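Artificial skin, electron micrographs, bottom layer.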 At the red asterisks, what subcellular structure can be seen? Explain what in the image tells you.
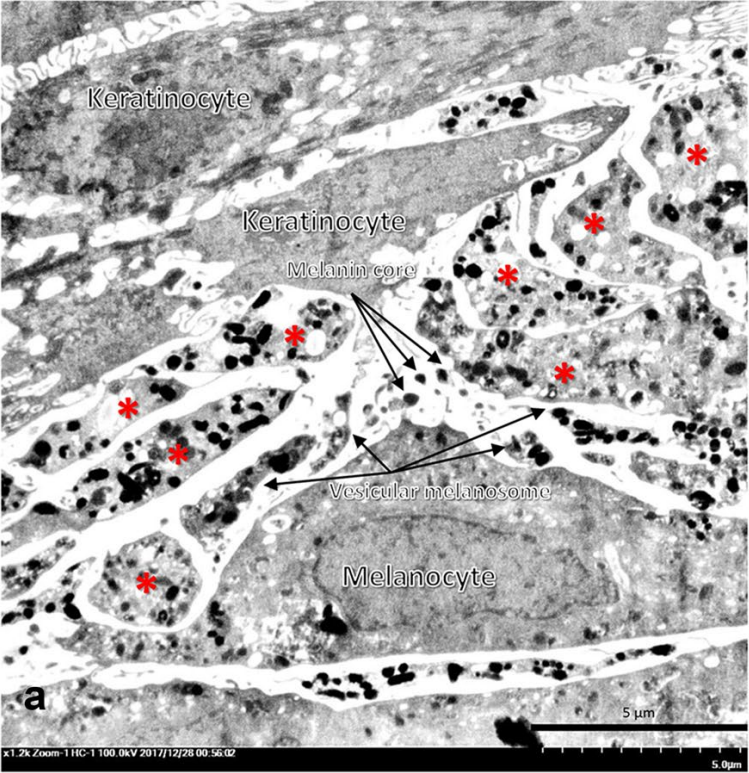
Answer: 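These profiles are packed with dark round to oval granules. The profiles run out from the region of a cell body with a large oval nucleus at the bottom.
Hence: dendritic extensions.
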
